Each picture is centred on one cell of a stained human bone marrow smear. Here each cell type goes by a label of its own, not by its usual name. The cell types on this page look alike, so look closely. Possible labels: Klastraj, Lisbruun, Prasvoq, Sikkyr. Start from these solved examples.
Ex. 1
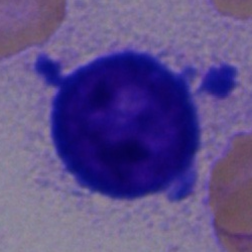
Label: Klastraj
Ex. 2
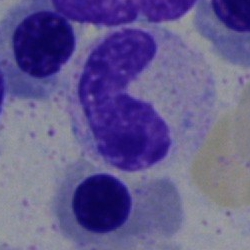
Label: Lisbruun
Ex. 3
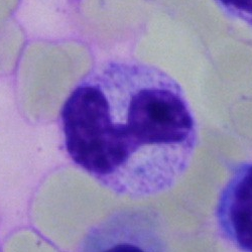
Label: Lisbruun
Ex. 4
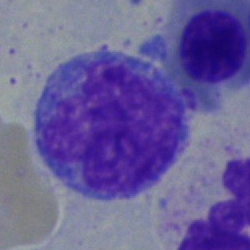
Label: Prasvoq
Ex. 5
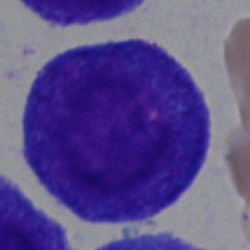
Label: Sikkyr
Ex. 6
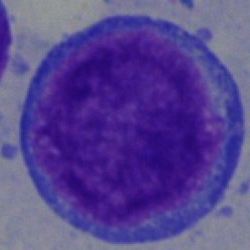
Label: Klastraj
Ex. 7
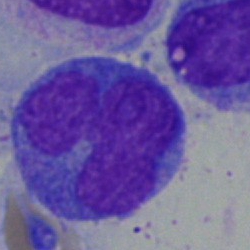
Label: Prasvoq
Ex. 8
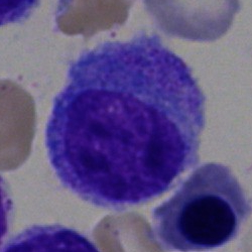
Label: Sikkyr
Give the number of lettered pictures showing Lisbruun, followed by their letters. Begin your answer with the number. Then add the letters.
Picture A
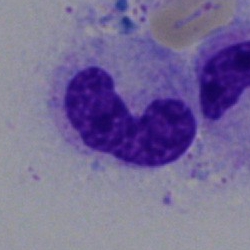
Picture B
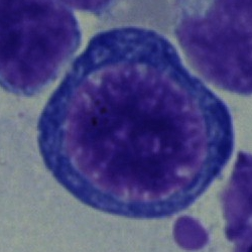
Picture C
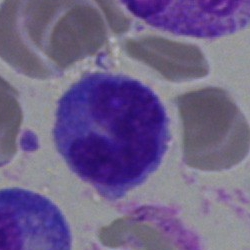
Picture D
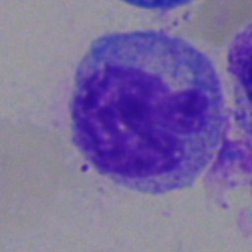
Count: 1 (A)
